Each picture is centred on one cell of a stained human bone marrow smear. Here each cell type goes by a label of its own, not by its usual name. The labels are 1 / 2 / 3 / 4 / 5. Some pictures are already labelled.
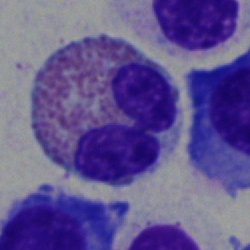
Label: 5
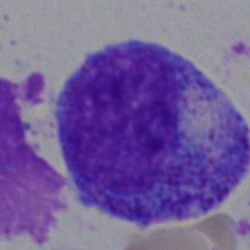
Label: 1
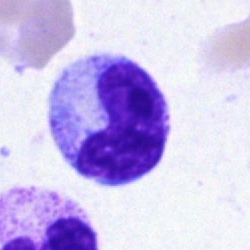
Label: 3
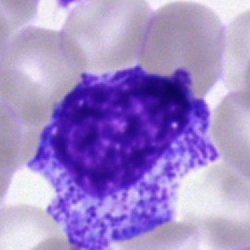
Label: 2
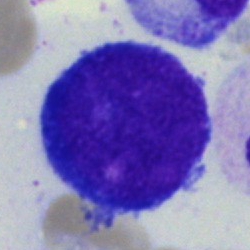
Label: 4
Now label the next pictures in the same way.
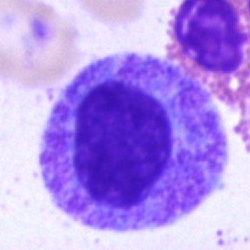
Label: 1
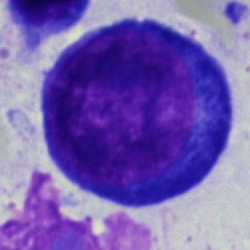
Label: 4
